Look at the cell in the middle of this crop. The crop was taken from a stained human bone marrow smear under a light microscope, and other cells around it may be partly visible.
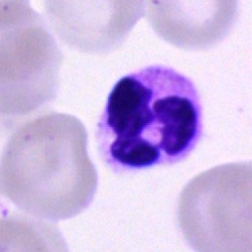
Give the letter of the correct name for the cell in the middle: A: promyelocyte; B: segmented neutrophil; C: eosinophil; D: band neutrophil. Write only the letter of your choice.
B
